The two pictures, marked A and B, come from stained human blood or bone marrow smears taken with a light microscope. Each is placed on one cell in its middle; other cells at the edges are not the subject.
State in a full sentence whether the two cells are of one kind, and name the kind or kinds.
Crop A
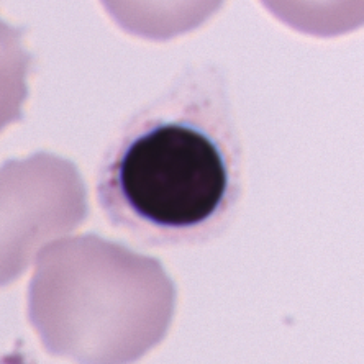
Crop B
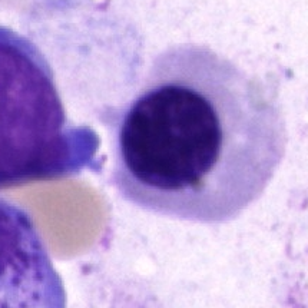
Yes, the centre of both crops is taken up by normoblasts.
